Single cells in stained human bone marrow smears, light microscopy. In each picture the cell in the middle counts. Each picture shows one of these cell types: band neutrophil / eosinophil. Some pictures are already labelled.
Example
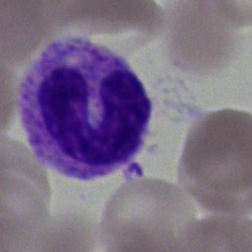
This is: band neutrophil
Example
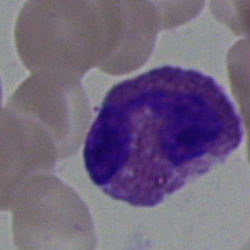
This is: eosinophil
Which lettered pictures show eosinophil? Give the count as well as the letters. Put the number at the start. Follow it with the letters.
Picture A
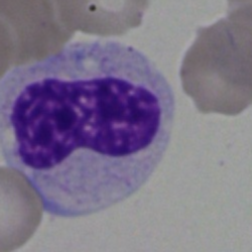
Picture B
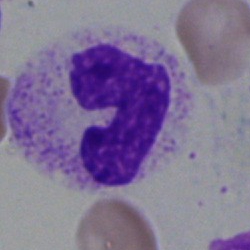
0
